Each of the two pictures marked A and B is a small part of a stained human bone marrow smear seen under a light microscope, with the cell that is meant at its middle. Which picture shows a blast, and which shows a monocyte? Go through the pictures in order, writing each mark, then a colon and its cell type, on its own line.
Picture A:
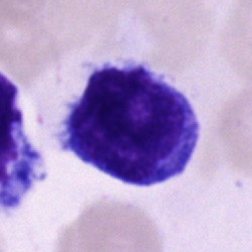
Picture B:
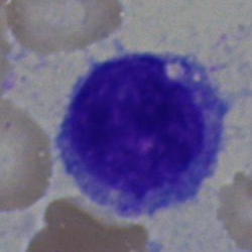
A: blast
B: monocyte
